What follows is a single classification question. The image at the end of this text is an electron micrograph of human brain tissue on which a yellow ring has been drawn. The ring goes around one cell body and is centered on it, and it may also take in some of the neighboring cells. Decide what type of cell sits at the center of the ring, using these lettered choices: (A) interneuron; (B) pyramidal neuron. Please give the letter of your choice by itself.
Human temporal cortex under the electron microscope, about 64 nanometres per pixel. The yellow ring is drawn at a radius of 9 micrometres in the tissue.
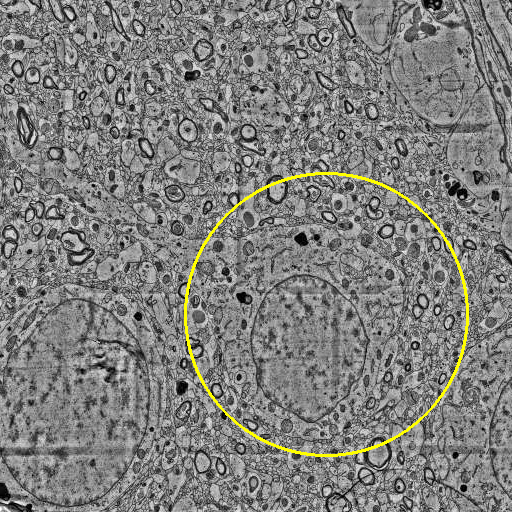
B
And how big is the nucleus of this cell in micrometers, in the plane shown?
Roughly 9 by 8 micrometres is the size of the nucleus in this plane.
